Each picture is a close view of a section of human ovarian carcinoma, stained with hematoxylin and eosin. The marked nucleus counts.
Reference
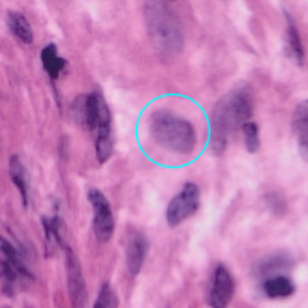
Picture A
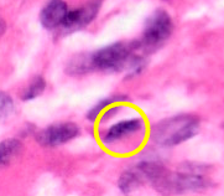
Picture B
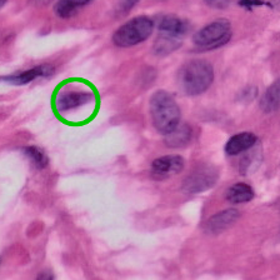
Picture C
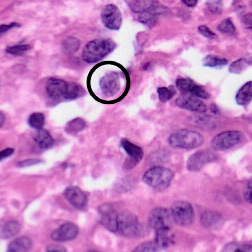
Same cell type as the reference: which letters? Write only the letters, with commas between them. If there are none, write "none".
A, B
